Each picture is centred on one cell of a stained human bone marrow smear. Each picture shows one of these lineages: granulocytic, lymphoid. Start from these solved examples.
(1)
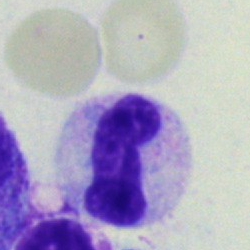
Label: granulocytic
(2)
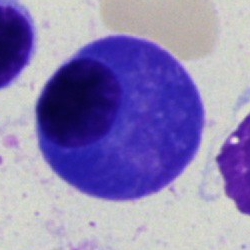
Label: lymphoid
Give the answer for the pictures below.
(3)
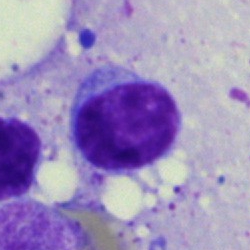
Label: lymphoid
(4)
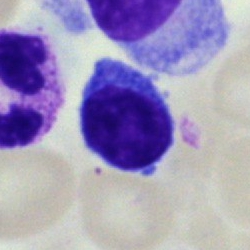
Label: lymphoid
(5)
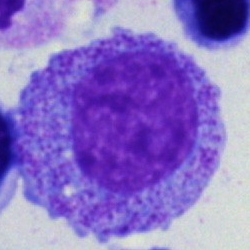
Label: granulocytic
